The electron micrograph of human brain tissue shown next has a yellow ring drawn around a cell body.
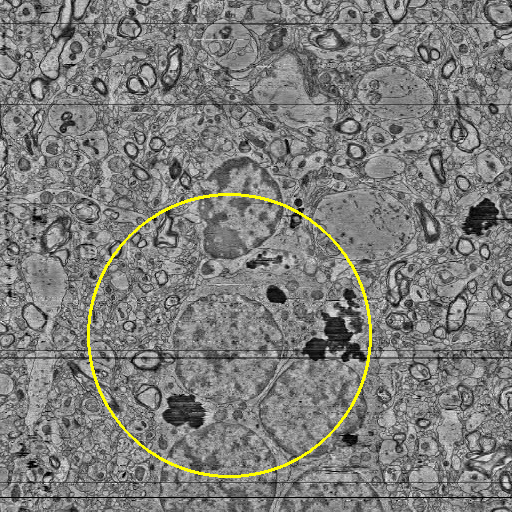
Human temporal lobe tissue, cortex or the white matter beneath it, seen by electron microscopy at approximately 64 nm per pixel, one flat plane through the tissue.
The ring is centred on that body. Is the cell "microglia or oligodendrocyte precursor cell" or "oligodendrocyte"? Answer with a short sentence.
The cell in question is an oligodendrocyte.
